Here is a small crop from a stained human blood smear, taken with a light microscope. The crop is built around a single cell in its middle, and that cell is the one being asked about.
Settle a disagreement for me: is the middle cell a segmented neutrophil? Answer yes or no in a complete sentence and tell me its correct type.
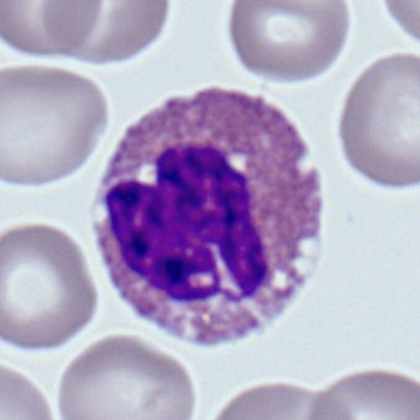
No, the cell sitting in the middle is an eosinophil, and it is not a segmented neutrophil.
